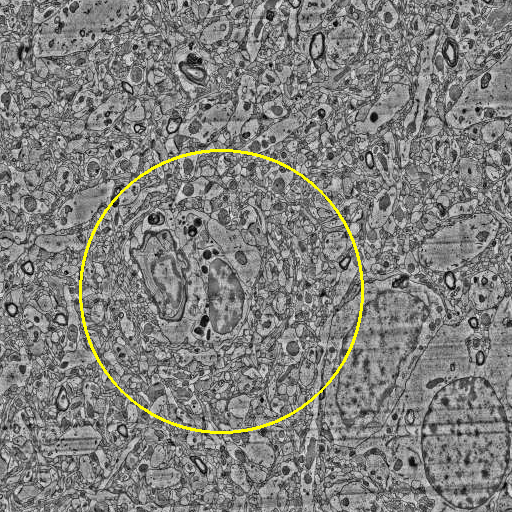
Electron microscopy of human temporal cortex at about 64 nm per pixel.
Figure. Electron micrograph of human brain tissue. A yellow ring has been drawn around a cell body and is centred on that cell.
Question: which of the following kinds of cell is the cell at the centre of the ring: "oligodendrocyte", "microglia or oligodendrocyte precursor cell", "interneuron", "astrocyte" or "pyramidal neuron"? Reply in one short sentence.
The cell at the centre of the ring is a microglial cell or oligodendrocyte precursor cell.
